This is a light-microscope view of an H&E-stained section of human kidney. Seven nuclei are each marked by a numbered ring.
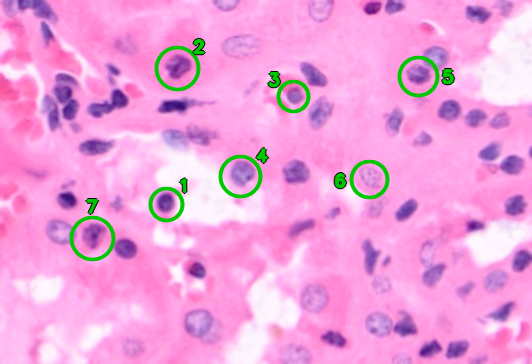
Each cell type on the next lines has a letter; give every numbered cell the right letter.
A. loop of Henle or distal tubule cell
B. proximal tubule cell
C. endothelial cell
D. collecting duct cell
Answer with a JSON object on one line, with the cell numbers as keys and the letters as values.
{"1": "A", "2": "B", "3": "C", "4": "A", "5": "A", "6": "A", "7": "B"}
